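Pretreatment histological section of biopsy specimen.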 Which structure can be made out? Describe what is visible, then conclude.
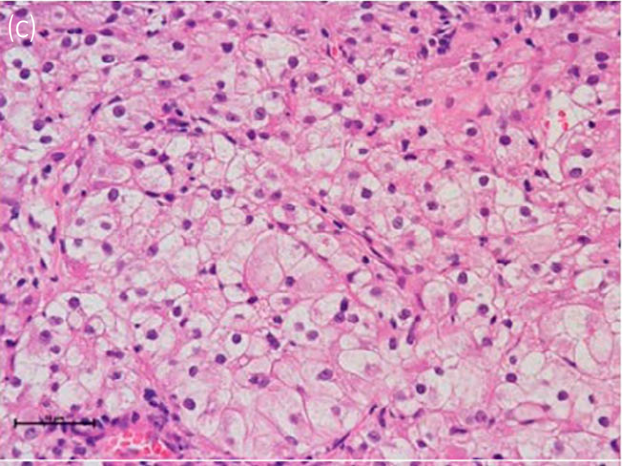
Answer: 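Delicate sinusoidal vascular networks. Thin pink strands with flattened, elongated nuclei run between groups of cells. These strands divide the cells into rounded groups. A few red blood cells lie in small vessels near the lower edge.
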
